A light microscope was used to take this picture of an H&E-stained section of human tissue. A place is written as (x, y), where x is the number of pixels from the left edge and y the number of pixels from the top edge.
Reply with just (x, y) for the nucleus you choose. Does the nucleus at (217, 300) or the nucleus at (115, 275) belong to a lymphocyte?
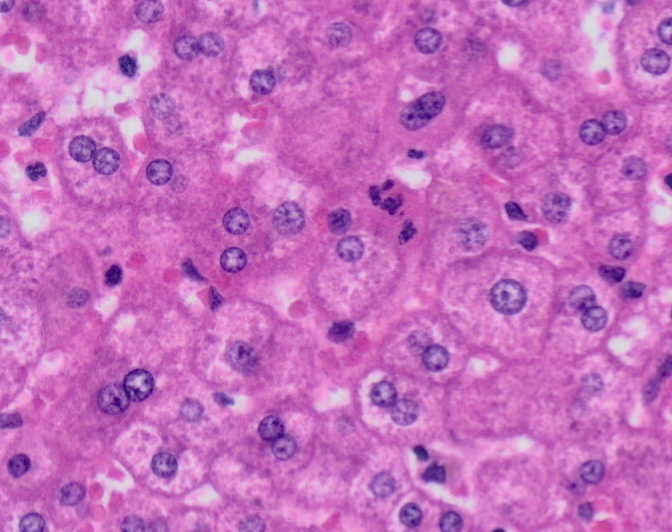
(115, 275)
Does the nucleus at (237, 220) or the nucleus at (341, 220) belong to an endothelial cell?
(341, 220)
